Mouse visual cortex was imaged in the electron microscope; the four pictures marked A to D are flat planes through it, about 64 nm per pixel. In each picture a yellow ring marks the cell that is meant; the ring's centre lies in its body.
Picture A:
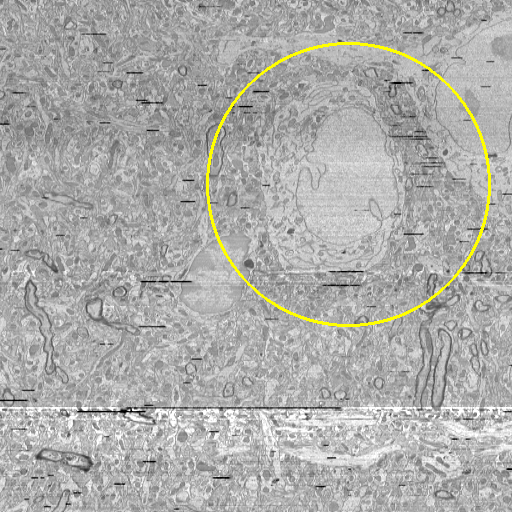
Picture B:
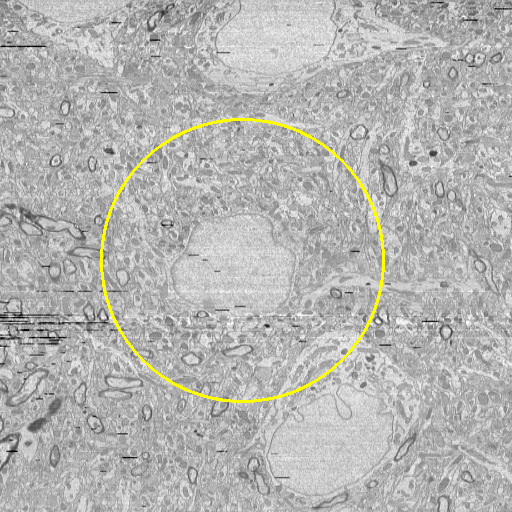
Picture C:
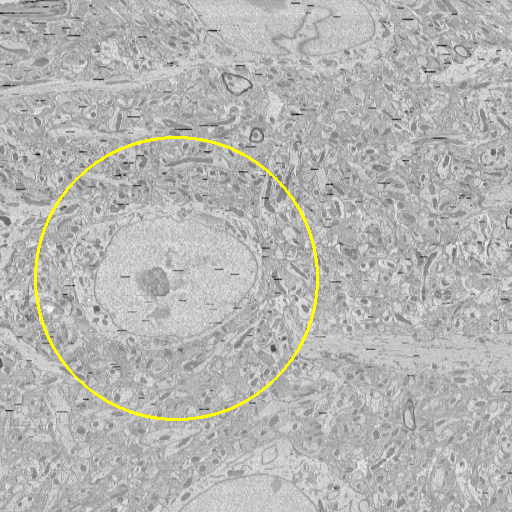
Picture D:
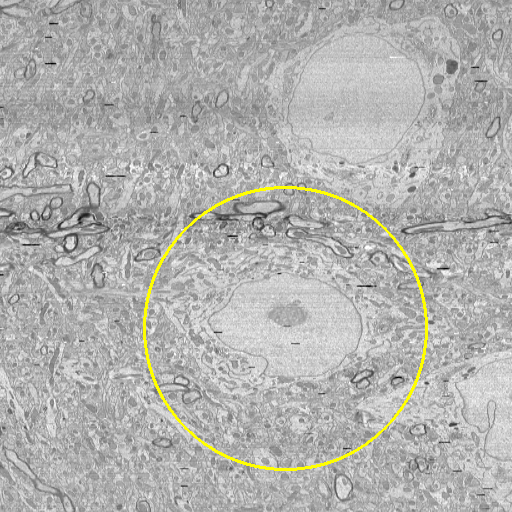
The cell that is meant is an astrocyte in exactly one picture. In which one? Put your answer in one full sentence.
It is picture B that shows the astrocyte.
